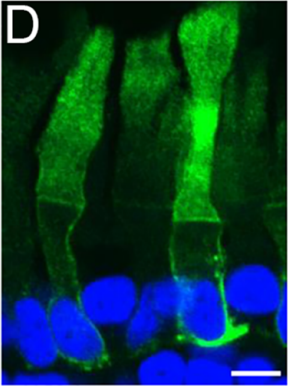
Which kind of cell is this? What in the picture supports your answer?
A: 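Rod photoreceptors. Tall, column-shaped cells stand side by side above a row of oval nuclei. Each cell has a broad upper segment above a narrower inner portion.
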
